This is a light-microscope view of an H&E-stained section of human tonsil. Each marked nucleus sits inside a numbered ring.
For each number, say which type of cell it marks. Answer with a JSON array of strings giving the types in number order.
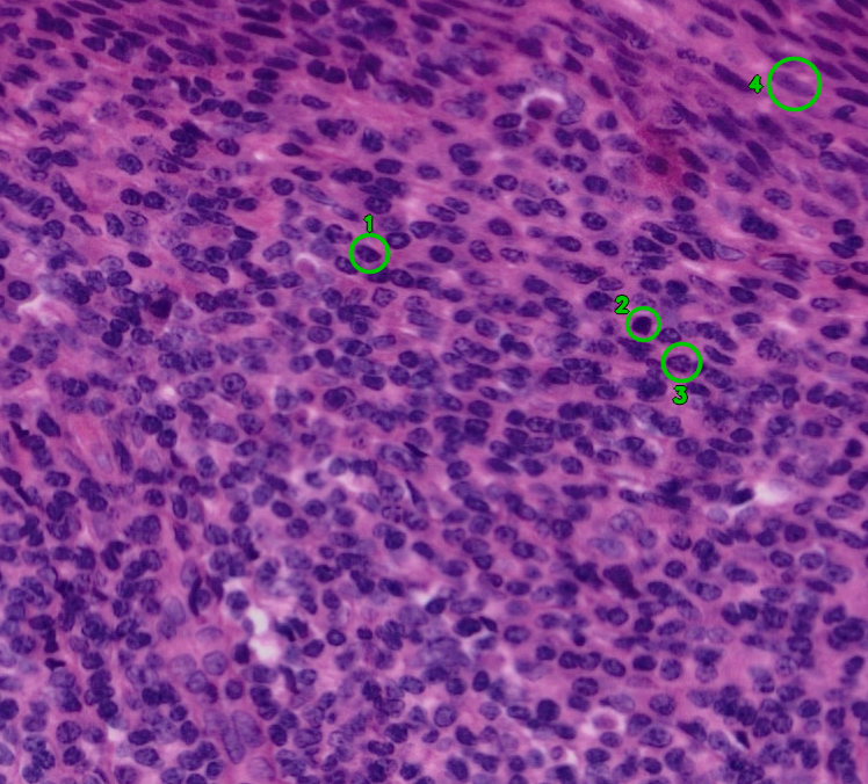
["plasma cell", "plasma cell", "plasma cell", "squamous epithelial cell"]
